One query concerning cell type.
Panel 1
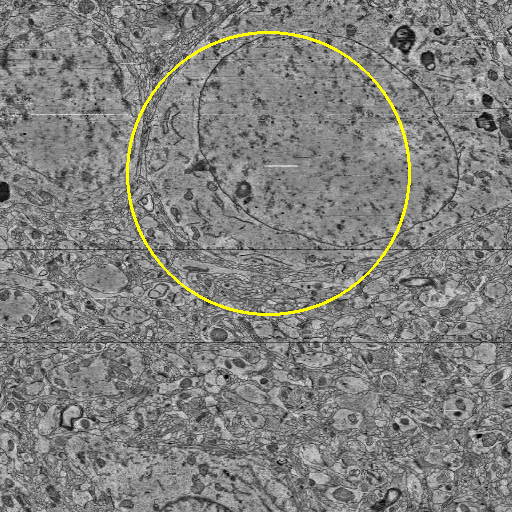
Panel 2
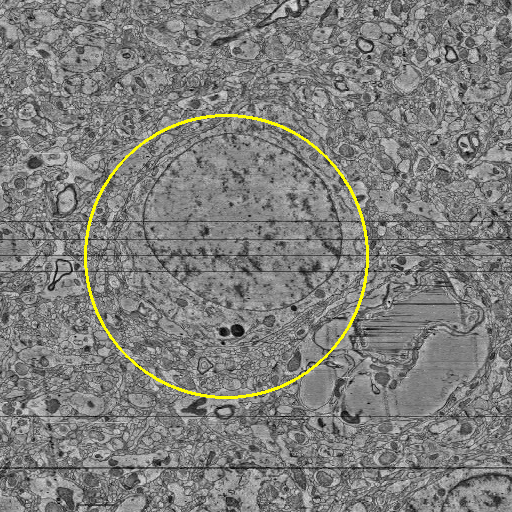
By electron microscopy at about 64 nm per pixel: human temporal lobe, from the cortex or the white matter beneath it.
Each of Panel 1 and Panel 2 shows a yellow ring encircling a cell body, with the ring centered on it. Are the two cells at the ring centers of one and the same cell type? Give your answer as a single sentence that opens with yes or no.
Yes, the cell centered in Panel 1 and the one in Panel 2 share a type.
